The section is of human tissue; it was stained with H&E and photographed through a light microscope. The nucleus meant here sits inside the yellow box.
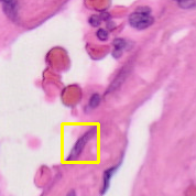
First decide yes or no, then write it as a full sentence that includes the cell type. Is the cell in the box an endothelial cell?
Yes, an endothelial cell is what the cell in the box is in this section.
